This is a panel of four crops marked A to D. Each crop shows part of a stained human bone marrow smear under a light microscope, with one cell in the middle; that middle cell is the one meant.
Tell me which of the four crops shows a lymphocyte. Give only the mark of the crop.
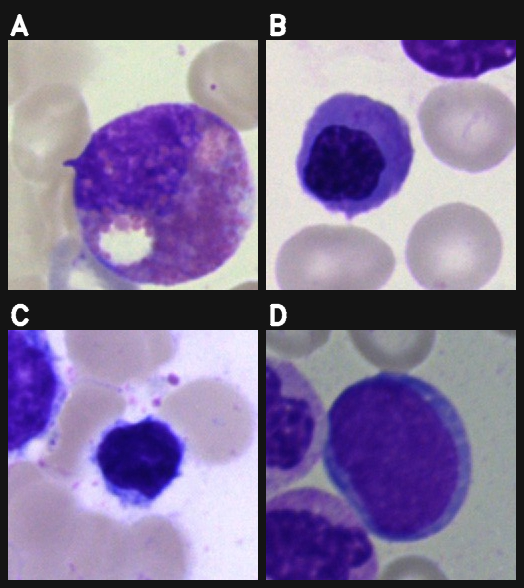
C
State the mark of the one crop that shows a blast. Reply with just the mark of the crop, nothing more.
D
